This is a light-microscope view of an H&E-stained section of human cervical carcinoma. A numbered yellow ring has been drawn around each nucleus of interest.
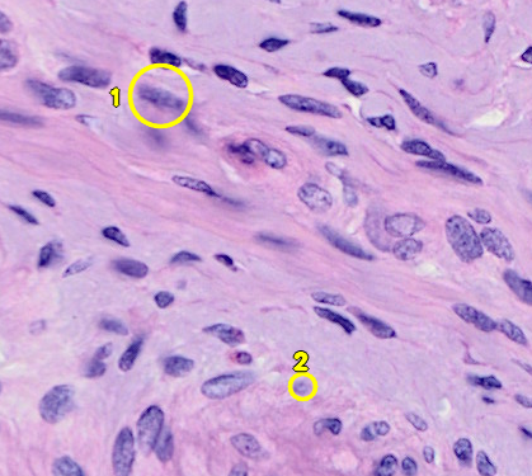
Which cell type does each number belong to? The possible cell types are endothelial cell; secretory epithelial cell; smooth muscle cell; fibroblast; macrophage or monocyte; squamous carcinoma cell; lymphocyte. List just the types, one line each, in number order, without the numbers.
fibroblast
smooth muscle cell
